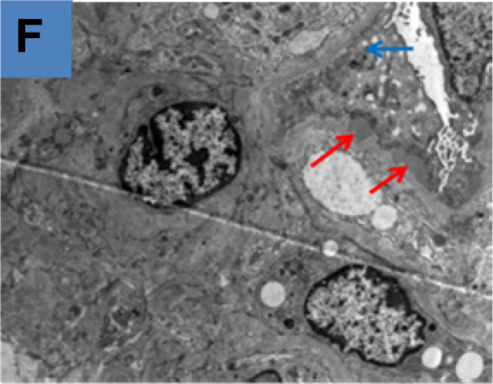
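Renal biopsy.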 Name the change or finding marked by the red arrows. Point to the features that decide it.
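Electron-dense deposits. The two red arrows point at dark grey, dense material. The marked material lies beside a pale rounded space between two nuclei.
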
